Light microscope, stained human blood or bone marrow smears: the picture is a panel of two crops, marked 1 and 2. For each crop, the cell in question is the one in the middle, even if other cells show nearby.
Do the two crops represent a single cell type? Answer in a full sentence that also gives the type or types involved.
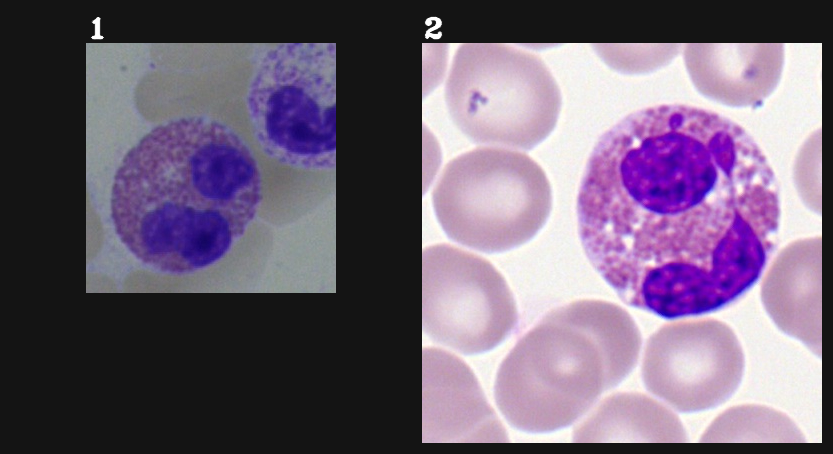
Yes, the cells at the centre of both crops are eosinophils.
